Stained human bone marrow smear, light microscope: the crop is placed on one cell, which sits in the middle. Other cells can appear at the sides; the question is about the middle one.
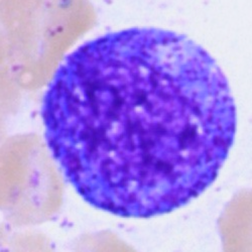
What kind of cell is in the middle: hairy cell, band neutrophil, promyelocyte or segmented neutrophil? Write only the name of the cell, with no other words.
promyelocyte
